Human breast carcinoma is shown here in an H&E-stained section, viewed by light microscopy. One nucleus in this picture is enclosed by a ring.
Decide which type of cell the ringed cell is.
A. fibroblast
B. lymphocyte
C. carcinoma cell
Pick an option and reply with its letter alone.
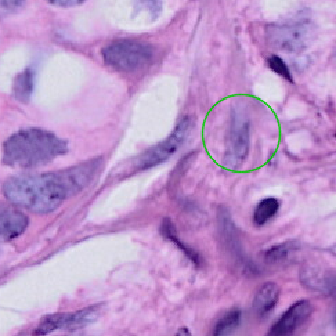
A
